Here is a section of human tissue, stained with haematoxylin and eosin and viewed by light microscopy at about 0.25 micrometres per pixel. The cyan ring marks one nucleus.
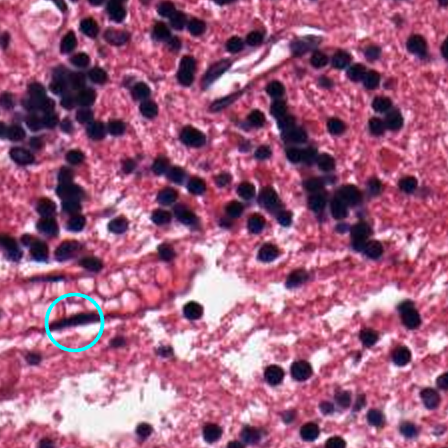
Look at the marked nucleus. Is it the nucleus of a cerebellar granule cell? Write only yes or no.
no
